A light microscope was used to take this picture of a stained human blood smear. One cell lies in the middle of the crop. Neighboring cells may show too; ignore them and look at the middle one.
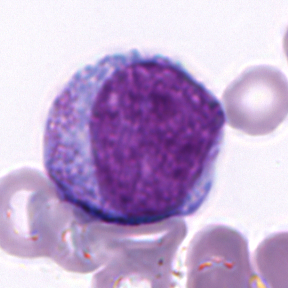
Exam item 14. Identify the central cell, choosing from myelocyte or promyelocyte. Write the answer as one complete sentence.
The cell nearest the centre of this crop is a promyelocyte.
